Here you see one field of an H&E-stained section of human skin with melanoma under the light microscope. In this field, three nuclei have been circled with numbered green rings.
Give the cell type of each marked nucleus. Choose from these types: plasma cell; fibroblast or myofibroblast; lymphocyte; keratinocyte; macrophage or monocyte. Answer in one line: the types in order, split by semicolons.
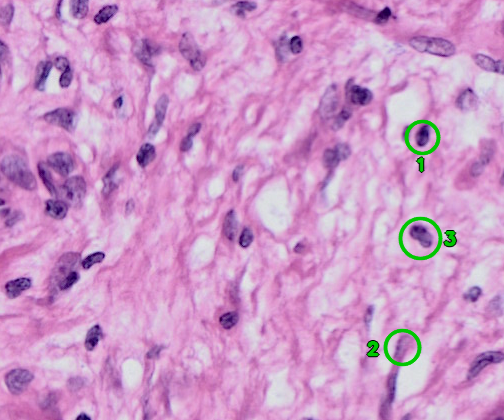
lymphocyte; fibroblast or myofibroblast; lymphocyte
